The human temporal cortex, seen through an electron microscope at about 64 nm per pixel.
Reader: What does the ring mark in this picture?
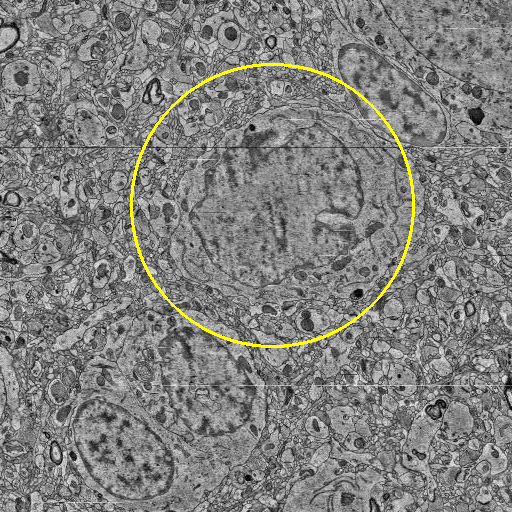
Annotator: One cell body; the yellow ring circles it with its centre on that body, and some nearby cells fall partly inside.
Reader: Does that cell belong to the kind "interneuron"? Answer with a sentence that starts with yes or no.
Yes, in this picture the ringed cell at the centre belongs to that kind.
